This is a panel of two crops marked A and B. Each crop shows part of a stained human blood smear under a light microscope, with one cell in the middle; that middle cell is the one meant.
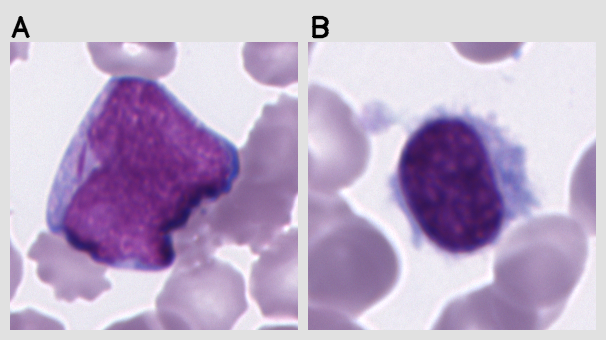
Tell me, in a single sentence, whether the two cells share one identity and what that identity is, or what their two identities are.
No, within crop A lies a myeloblast, and within crop B lies a hairy cell.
